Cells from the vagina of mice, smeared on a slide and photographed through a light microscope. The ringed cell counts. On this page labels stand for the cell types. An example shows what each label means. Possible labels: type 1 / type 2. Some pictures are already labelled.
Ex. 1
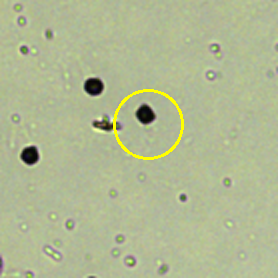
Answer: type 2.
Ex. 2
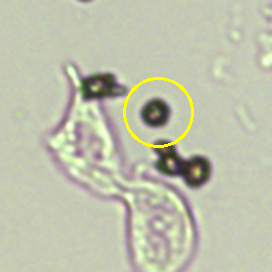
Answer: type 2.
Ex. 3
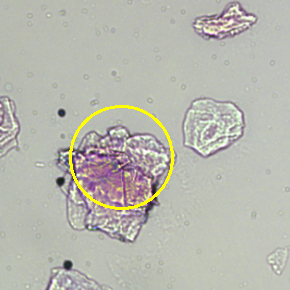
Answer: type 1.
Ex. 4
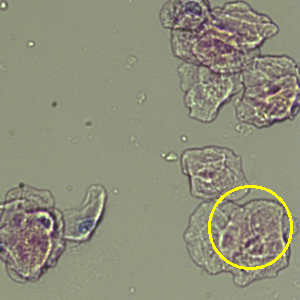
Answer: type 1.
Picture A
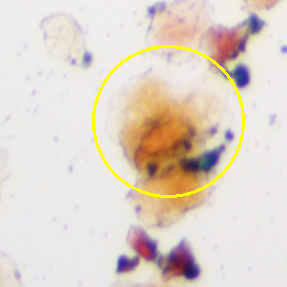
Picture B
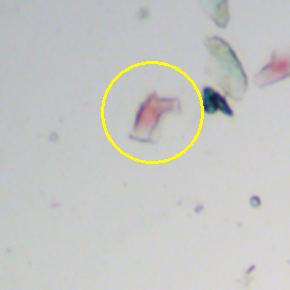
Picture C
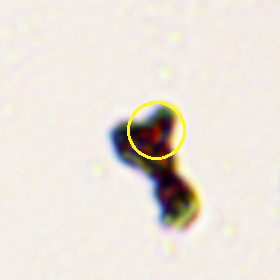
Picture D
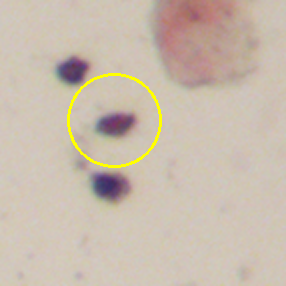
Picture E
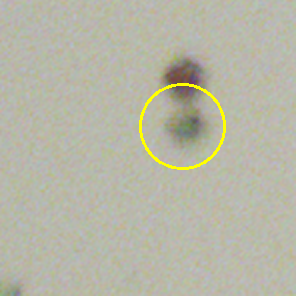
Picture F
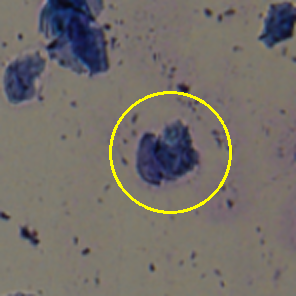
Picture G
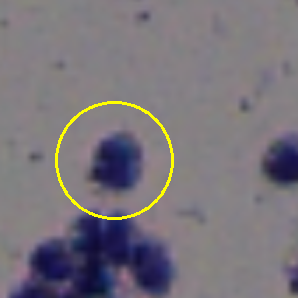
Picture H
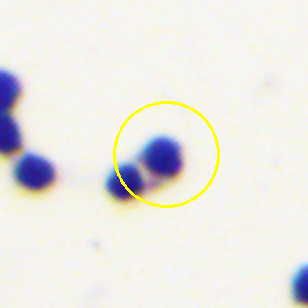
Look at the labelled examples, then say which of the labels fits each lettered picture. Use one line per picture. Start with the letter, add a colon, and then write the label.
A: type 1.
B: type 1.
C: type 2.
D: type 2.
E: type 2.
F: type 1.
G: type 2.
H: type 2.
